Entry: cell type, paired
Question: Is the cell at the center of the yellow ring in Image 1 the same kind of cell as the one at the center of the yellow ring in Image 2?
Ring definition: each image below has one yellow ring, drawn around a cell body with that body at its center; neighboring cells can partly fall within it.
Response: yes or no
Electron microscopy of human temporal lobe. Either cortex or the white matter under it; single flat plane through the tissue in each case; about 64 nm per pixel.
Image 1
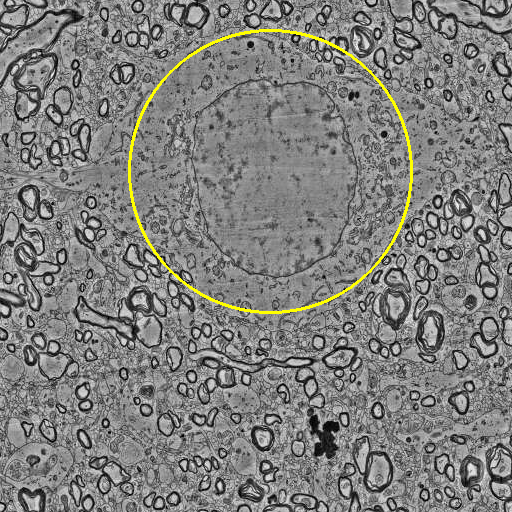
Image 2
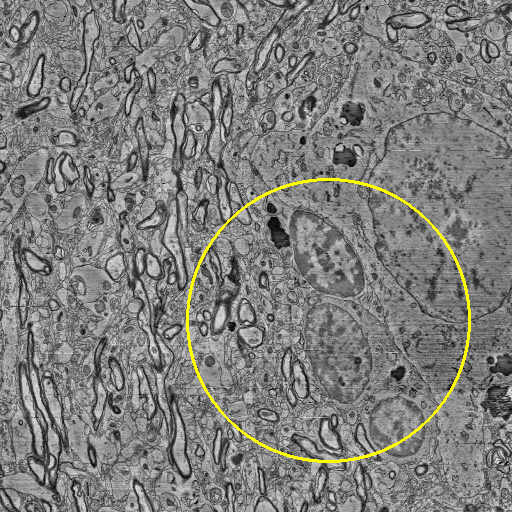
no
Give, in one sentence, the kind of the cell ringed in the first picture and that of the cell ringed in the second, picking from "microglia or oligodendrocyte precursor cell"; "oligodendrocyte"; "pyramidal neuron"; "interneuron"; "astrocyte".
For the first picture it is a pyramidal neuron; for the second, an oligodendrocyte.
